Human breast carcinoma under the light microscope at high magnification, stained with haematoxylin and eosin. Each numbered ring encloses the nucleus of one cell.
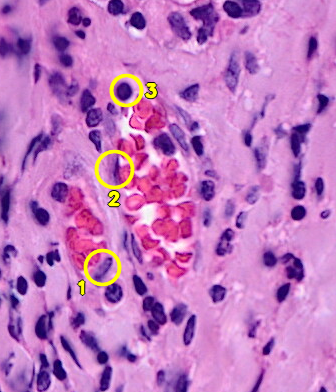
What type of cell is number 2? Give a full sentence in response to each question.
The cell to which the number 2 is assigned is an endothelial cell.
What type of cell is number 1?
Identified as an endothelial cell is the cell bearing the number 1.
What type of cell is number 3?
Denoted by the label 3 in the section is a lymphocyte.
